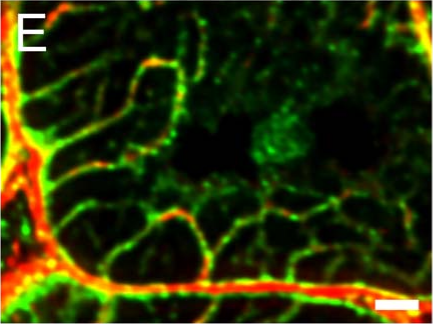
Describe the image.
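Transverse section of a cardiac myocyte, the surface membrane bright in both colours along the left and lower edges. Inside, a branching network of thin green-only tubules joins larger tubules labelled in both colours, dividing the section into rounded dark compartments.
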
